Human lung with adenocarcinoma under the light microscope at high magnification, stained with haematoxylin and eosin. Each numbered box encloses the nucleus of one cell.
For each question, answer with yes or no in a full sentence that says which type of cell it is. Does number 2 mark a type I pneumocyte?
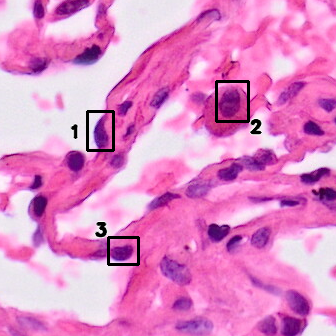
No, the cell indicated by 2 is a macrophage or monocyte instead of a type I pneumocyte.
